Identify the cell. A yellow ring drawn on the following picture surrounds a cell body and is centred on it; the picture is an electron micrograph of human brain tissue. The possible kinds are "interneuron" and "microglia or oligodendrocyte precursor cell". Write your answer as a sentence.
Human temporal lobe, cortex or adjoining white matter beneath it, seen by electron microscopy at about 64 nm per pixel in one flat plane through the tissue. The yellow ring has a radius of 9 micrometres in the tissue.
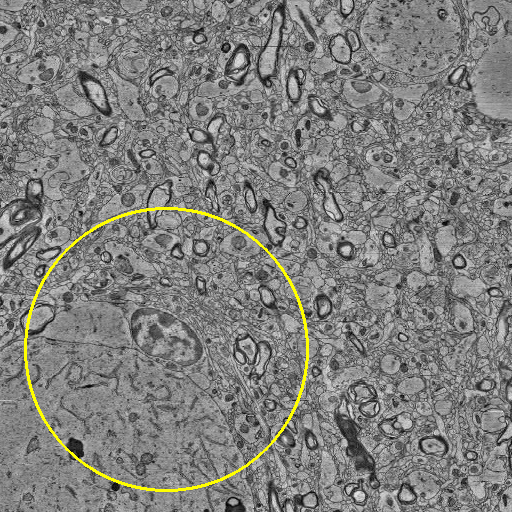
The cell identified by the ring is a microglial cell or oligodendrocyte precursor cell.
